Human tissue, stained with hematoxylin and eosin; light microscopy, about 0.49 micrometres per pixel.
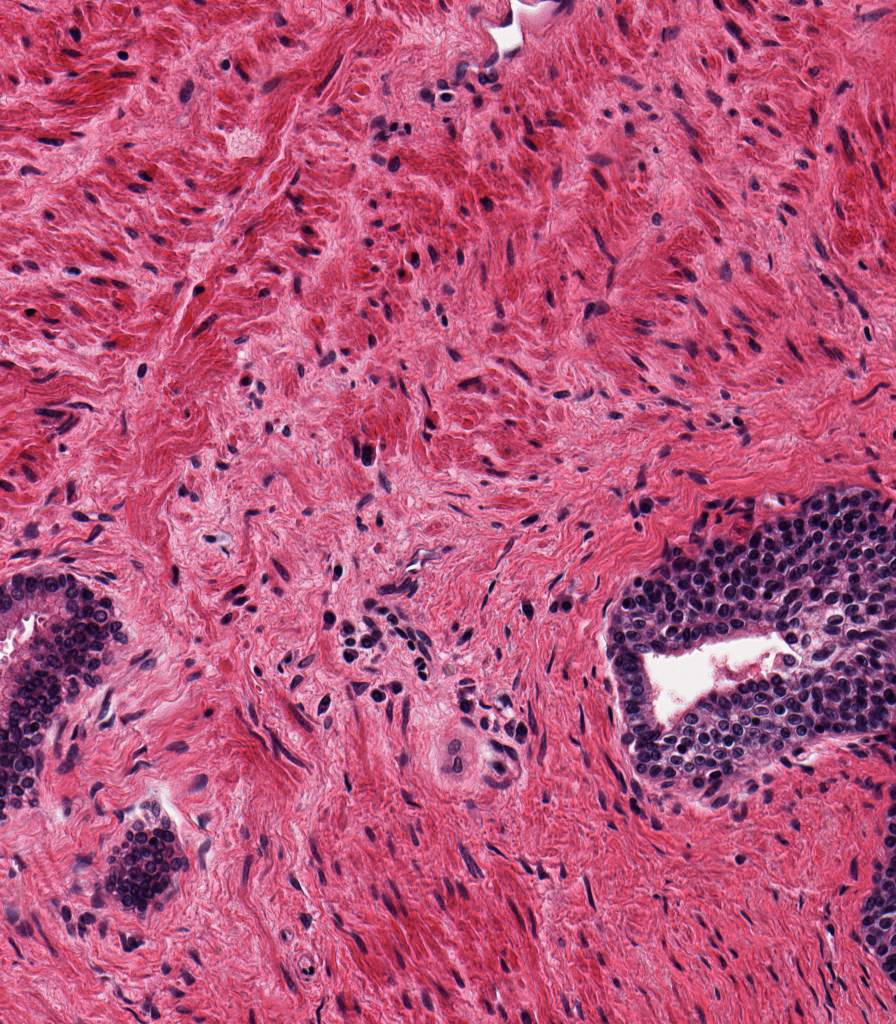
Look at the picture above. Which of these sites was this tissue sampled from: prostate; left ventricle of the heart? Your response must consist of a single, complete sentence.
The tissue seen in this section was sampled from the prostate.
